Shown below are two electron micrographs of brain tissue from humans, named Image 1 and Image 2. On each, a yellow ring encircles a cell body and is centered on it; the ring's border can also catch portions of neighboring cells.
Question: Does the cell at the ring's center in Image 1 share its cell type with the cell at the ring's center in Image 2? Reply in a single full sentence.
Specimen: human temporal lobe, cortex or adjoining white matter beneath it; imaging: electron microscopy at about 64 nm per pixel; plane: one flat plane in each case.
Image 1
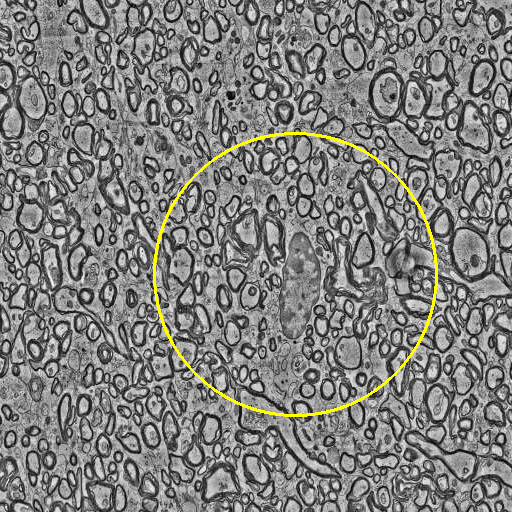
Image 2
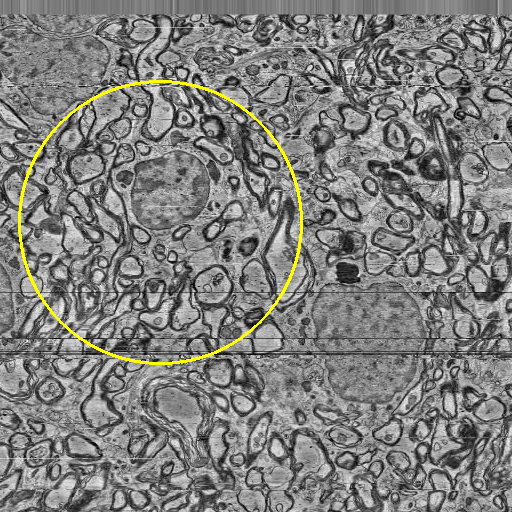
Yes, the two cells at the ring centers, in Image 1 and Image 2, share one cell type.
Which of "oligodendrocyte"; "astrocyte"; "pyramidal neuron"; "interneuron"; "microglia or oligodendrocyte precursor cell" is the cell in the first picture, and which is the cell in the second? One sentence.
The cell in the first picture is a microglial cell or oligodendrocyte precursor cell, and so is the one in the second.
